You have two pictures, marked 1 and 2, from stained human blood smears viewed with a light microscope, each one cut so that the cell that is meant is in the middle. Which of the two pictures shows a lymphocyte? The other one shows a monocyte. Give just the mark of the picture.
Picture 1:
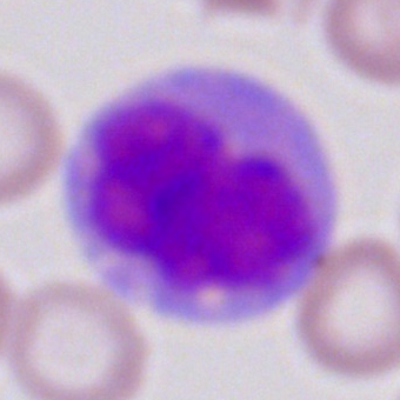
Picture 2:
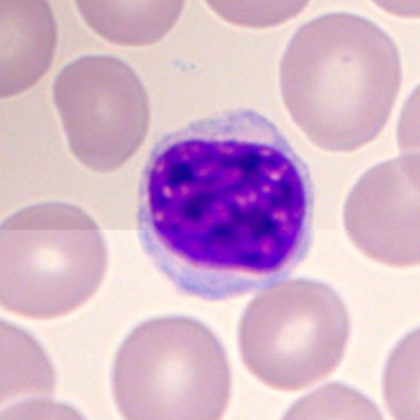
2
